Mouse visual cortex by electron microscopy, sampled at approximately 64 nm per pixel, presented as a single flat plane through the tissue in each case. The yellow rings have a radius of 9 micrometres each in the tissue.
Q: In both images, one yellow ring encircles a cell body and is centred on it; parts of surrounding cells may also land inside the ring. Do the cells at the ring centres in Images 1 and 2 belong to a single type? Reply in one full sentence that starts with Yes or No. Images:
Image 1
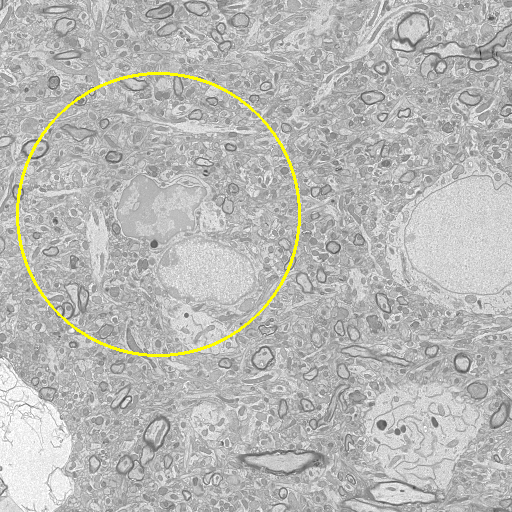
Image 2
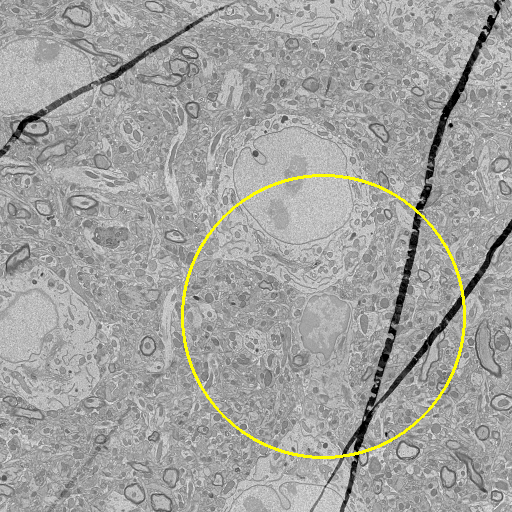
Yes, the cells at the ring centres in Images 1 and 2 are of a single type.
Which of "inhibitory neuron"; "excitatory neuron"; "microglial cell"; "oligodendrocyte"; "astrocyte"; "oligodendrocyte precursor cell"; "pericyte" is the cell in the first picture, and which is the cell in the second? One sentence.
Each cell at the centre of a ring is a microglial cell.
